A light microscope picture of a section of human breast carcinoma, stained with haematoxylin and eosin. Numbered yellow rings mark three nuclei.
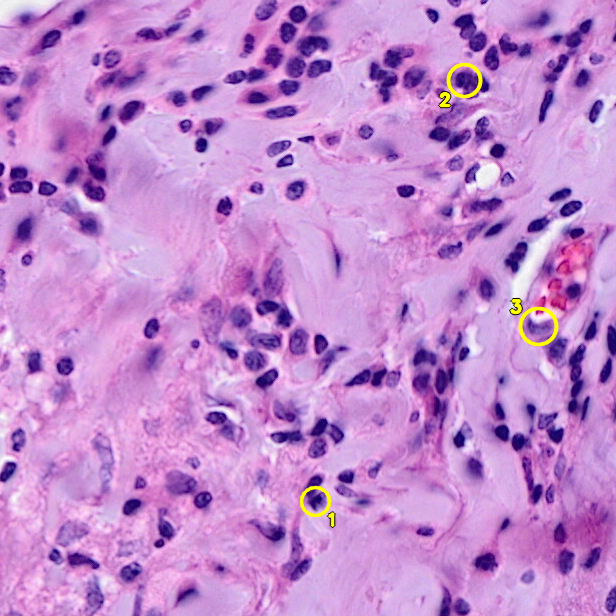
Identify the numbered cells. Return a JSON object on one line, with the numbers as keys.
{"1": "lymphocyte", "2": "lymphocyte", "3": "endothelial cell"}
